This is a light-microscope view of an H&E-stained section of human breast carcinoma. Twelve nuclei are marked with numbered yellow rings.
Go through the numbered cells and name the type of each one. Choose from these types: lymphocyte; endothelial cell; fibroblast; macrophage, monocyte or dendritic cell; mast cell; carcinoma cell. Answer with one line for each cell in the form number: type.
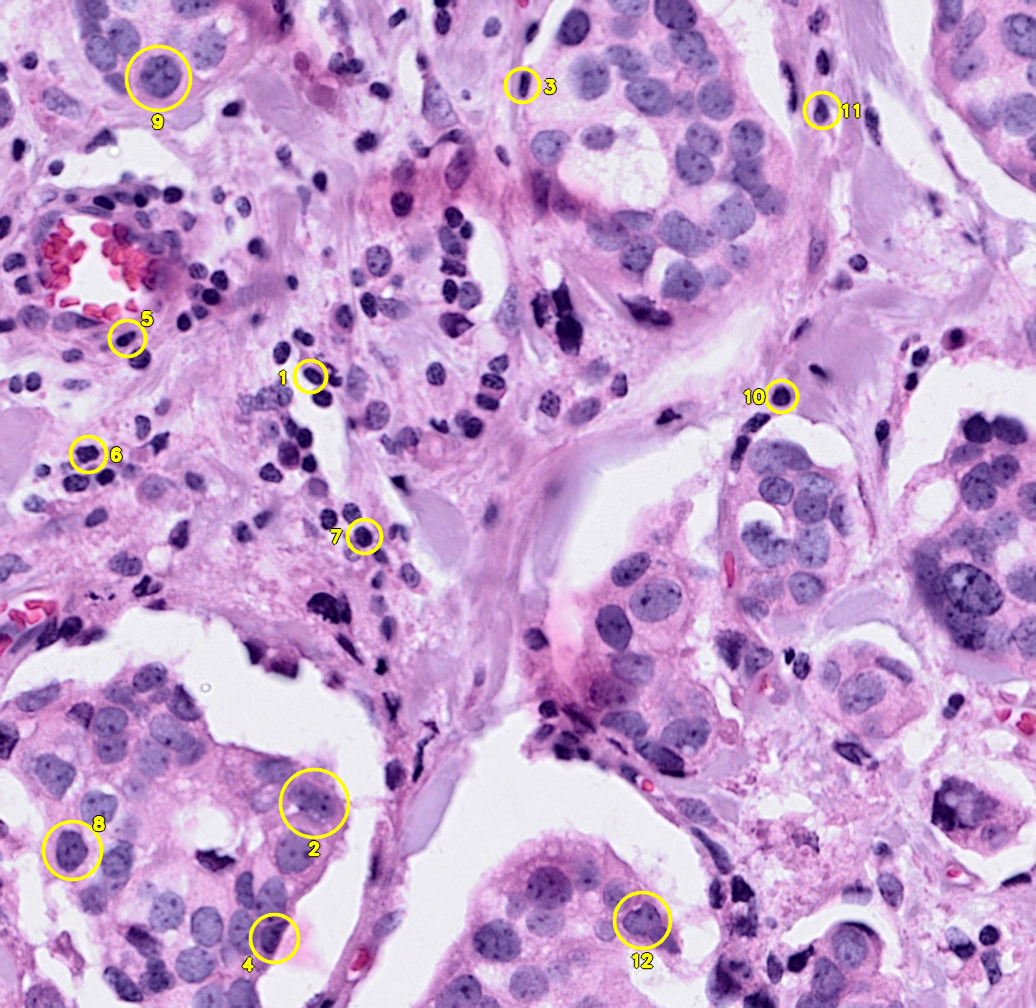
1: lymphocyte
2: carcinoma cell
3: lymphocyte
4: carcinoma cell
5: lymphocyte
6: lymphocyte
7: lymphocyte
8: carcinoma cell
9: carcinoma cell
10: lymphocyte
11: lymphocyte
12: carcinoma cell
